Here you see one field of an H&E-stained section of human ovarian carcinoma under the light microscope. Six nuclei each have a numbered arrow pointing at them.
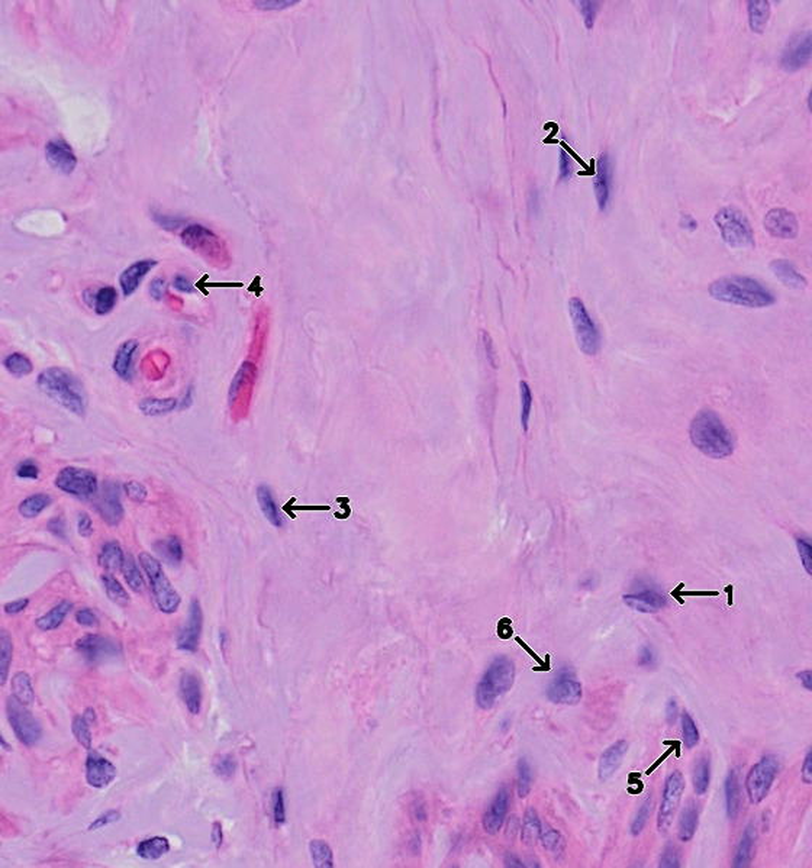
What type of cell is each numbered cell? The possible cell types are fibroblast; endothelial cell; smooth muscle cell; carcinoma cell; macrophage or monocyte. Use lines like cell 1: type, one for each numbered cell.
cell 1: fibroblast
cell 2: fibroblast
cell 3: fibroblast
cell 4: endothelial cell
cell 5: smooth muscle cell
cell 6: fibroblast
